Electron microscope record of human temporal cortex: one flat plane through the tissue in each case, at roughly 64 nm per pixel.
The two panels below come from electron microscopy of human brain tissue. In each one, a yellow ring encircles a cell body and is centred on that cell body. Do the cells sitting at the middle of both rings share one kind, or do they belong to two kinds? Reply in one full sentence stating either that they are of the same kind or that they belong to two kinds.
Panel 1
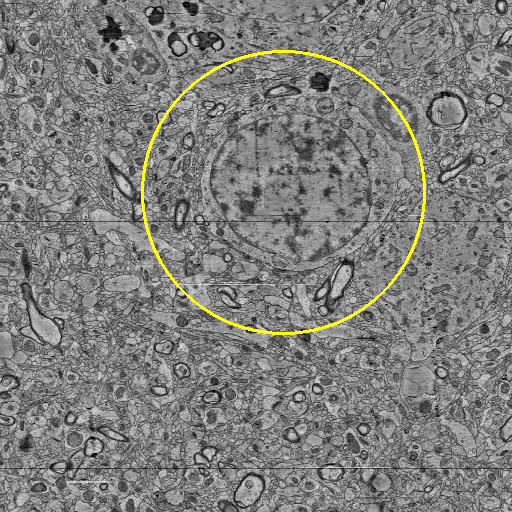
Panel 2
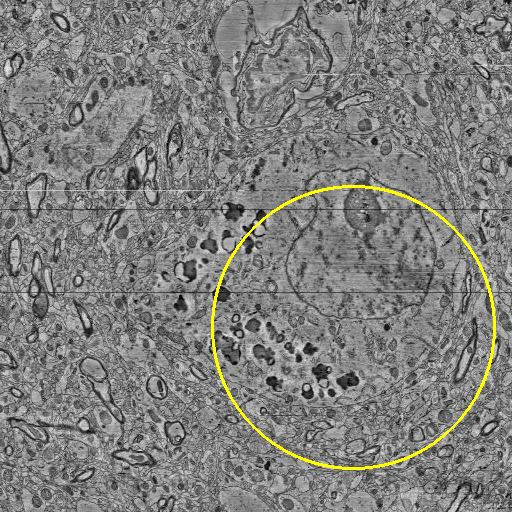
The cells at the centres of the two rings belong to two kinds.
